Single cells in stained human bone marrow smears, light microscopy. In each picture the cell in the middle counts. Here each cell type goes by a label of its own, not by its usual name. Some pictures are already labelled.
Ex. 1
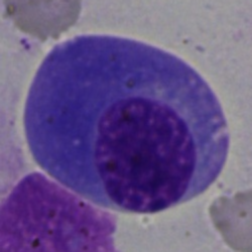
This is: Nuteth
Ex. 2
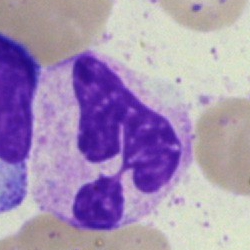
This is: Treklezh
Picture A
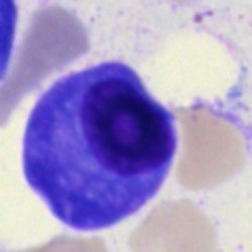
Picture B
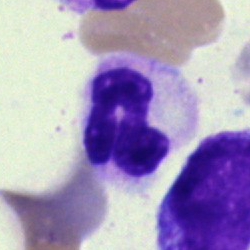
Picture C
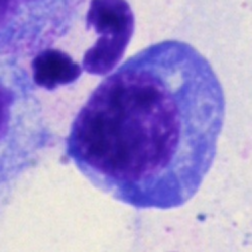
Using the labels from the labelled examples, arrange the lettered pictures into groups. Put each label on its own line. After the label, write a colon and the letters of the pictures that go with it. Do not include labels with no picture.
Nuteth: A, C
Treklezh: B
